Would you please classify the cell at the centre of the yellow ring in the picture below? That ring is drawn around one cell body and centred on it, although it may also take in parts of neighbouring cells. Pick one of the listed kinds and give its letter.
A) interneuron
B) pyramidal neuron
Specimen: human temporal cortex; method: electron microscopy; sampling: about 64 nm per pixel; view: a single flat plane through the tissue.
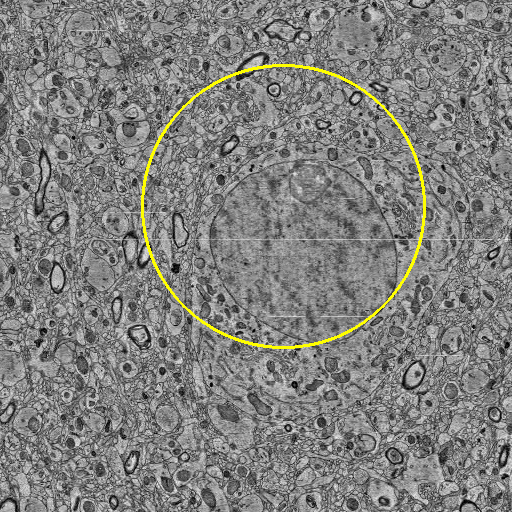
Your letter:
A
